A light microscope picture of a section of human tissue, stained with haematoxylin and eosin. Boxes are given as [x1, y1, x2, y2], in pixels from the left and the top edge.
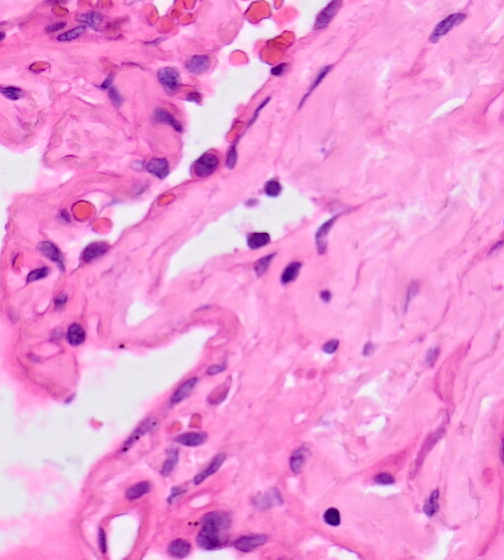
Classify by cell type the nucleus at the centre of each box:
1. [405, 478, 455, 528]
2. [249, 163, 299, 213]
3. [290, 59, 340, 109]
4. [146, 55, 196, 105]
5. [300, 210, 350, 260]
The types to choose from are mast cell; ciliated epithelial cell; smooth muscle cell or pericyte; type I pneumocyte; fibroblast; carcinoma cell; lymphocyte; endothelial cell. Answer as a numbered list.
1. fibroblast
2. lymphocyte
3. fibroblast
4. type I pneumocyte
5. fibroblast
